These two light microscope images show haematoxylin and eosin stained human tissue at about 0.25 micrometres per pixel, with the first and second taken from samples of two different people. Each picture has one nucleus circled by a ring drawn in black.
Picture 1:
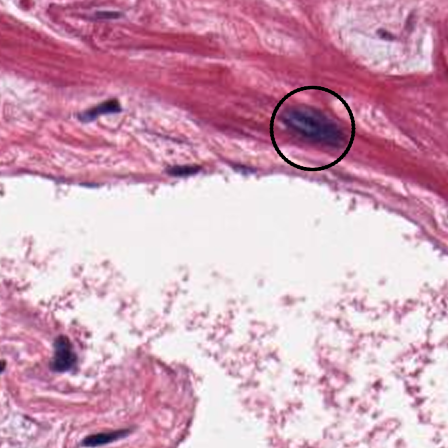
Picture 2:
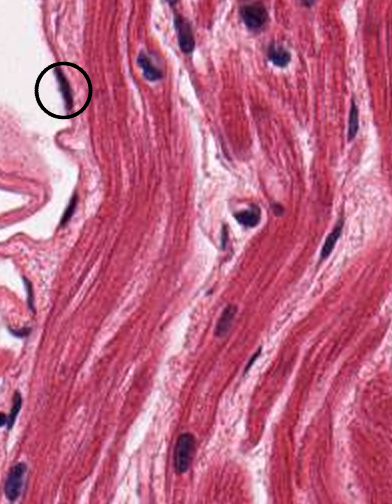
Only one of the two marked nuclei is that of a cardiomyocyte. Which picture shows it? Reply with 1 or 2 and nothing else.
1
